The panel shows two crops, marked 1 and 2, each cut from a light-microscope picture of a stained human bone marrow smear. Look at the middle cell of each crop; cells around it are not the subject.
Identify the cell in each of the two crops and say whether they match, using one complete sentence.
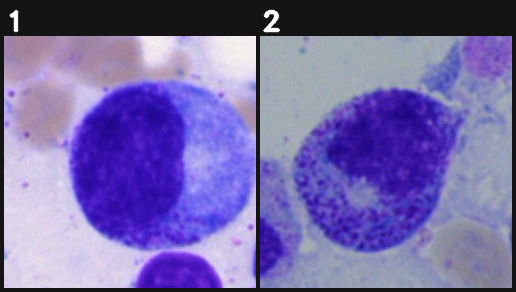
Yes, both the first crop and the second crop show promyelocytes.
